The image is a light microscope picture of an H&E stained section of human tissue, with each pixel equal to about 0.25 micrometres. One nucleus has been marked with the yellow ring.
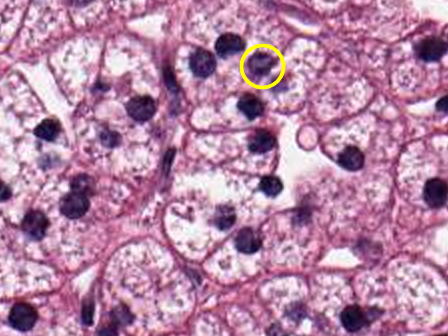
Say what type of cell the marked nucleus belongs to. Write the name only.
adrenal cortical cell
